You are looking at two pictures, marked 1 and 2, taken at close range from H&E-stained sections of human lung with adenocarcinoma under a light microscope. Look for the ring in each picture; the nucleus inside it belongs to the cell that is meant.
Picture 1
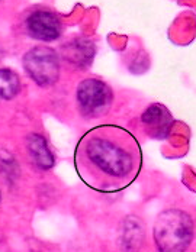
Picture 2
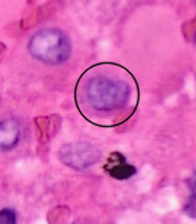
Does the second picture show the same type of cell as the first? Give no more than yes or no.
yes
